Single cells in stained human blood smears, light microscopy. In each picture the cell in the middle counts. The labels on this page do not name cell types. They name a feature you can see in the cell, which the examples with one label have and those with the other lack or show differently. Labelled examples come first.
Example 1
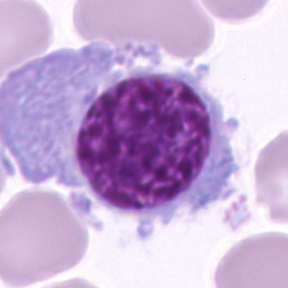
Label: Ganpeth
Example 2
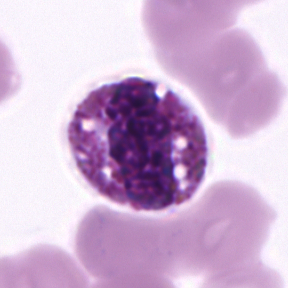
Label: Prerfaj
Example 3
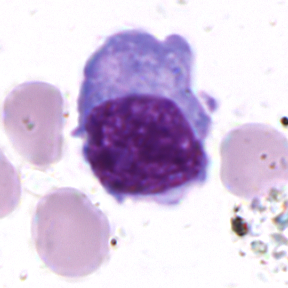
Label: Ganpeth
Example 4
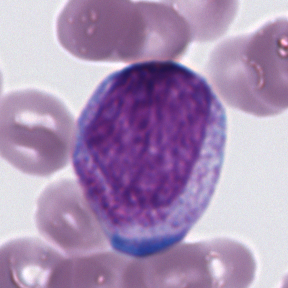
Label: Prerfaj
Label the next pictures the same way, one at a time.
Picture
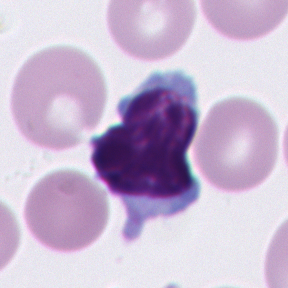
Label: Ganpeth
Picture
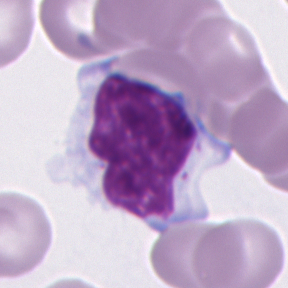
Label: Ganpeth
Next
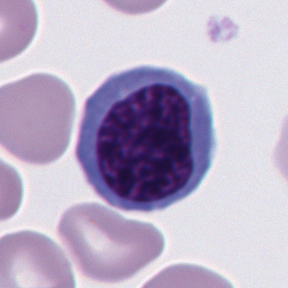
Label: Prerfaj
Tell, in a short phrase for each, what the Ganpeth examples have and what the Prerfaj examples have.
In Ganpeth: ragged outline or projections. In Prerfaj: smooth outline.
